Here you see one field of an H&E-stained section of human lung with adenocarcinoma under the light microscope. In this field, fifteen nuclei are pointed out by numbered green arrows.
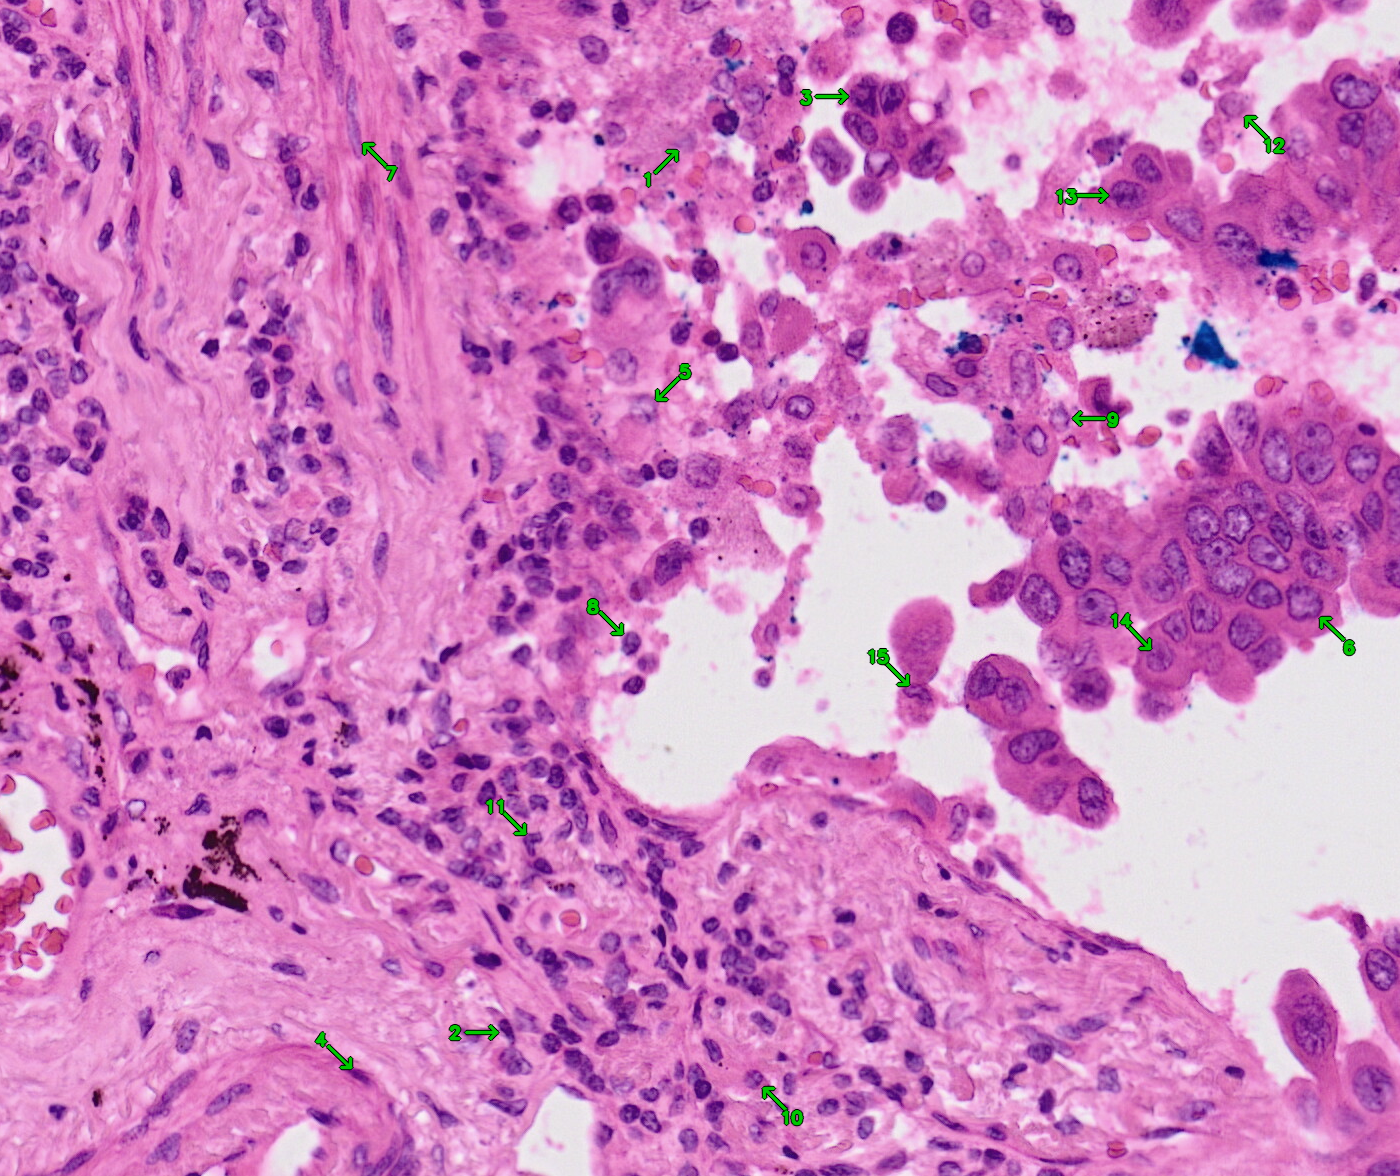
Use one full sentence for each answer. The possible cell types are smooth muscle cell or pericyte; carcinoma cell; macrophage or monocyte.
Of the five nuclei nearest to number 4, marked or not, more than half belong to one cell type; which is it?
Of the five nuclei nearest to number 4, most belong to smooth muscle cells or pericytes.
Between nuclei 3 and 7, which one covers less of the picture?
The smaller nucleus is 7, and 3 covers roughly 2 times its area.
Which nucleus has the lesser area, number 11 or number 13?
It is nucleus 11; nucleus 13 has about 2.5 times its area.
